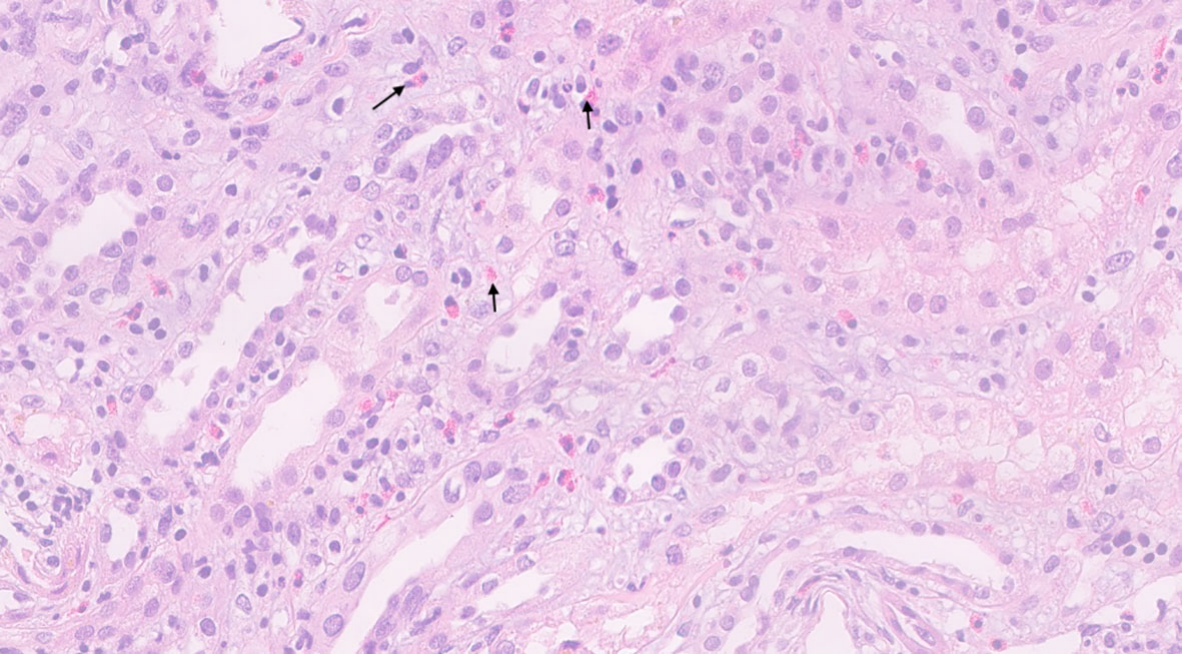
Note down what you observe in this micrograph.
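Kidney tissue in pink and purple shows tubules, lined by cuboidal cells with round purple nuclei and pale pink cytoplasm, around open empty lumens. The spaces between the tubules are widened and crowded with loosely scattered cells. Among them are small round cells with dense dark nuclei. Other cells stand out with bright red-orange granular cytoplasm and small dark nuclei, some of which appear lobed. These red-granular cells are spread widely through the tissue rather than gathered in one spot. Taken together, this is an interstitial inflammatory infiltrate of the kidney, with prominent eosinophils scattered across the parenchyma.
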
